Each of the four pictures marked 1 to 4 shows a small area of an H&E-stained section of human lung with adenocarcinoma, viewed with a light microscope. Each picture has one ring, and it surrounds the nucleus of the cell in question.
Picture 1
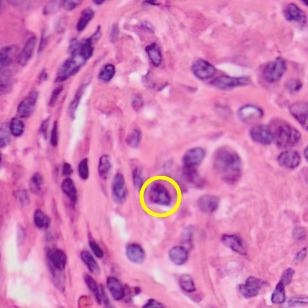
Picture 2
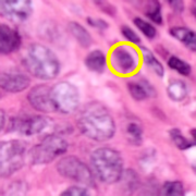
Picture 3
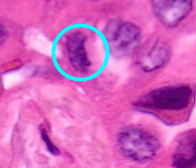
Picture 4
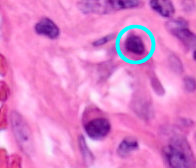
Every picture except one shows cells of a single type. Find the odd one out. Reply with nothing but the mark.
3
